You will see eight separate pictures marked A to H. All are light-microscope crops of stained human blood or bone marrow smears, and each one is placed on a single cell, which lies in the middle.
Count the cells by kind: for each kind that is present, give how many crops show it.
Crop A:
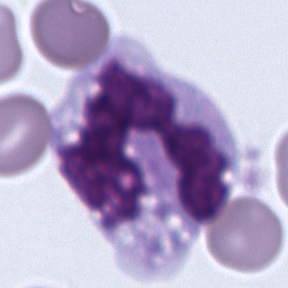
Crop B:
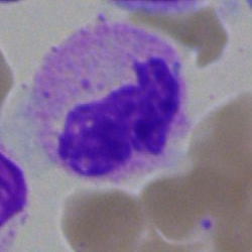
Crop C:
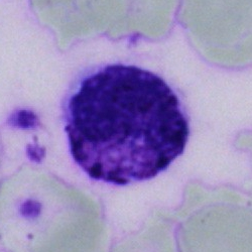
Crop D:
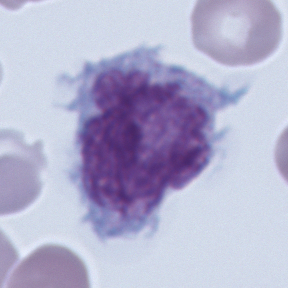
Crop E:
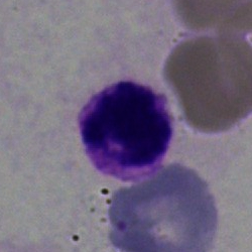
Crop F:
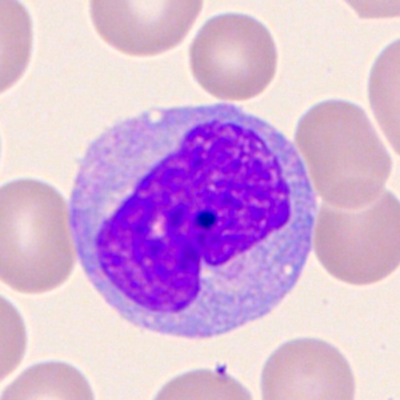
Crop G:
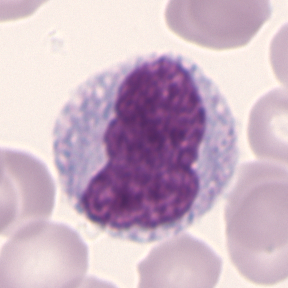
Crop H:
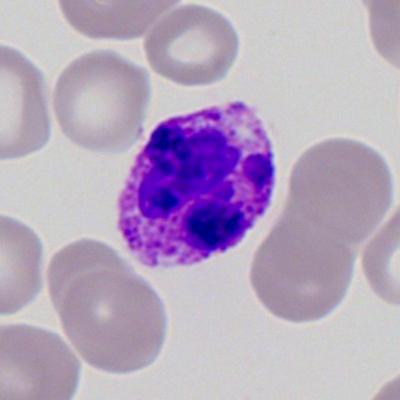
monocyte: 4
basophil: 4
